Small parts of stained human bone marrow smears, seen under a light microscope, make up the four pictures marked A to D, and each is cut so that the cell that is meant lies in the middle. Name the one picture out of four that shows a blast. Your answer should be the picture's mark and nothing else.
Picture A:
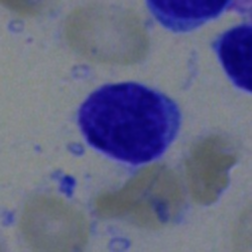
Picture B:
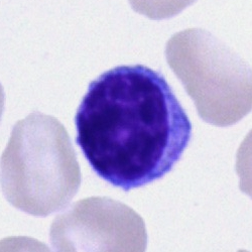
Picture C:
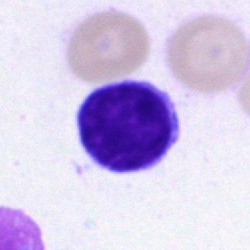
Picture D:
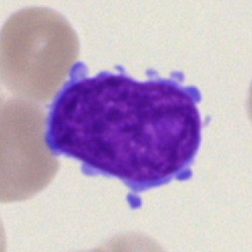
D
